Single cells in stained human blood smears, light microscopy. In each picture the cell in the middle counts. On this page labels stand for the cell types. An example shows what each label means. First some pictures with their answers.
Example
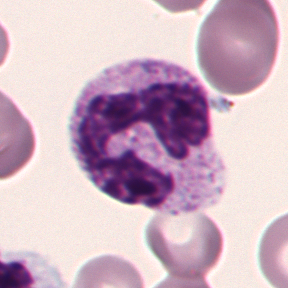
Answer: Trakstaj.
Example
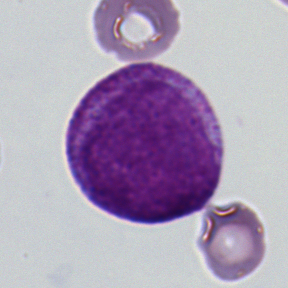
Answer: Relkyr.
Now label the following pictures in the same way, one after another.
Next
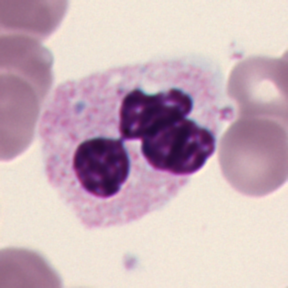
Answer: Trakstaj.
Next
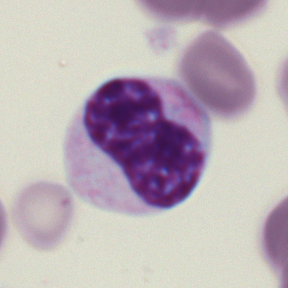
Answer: Trakstaj.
